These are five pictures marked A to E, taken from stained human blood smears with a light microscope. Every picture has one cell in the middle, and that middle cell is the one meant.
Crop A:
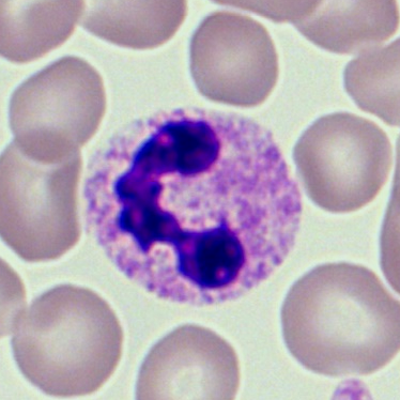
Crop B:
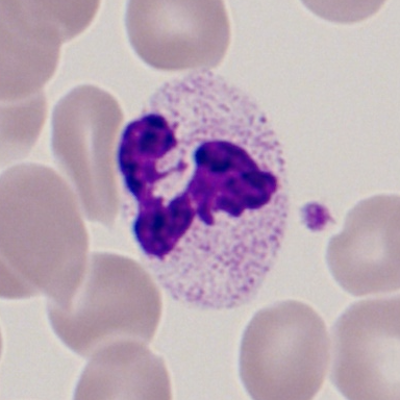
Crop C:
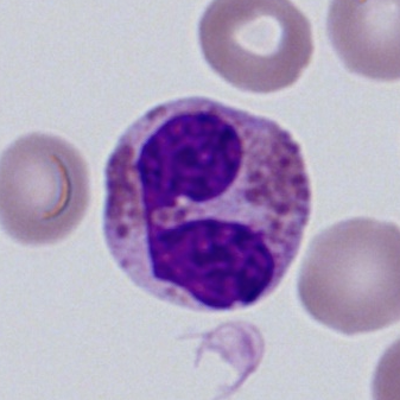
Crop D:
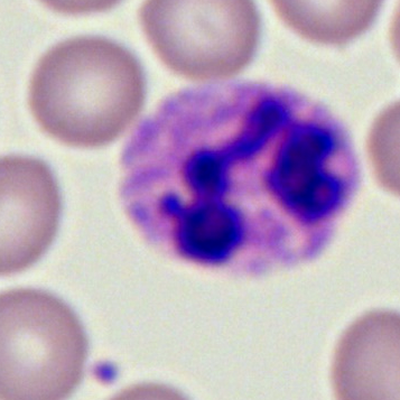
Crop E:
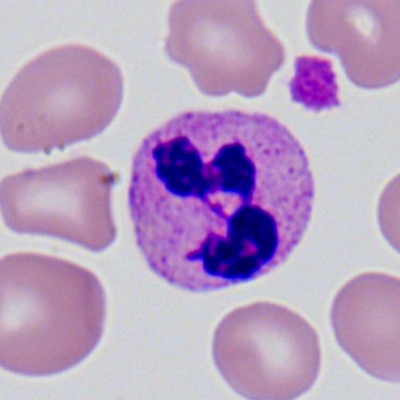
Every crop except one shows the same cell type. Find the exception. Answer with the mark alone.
C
